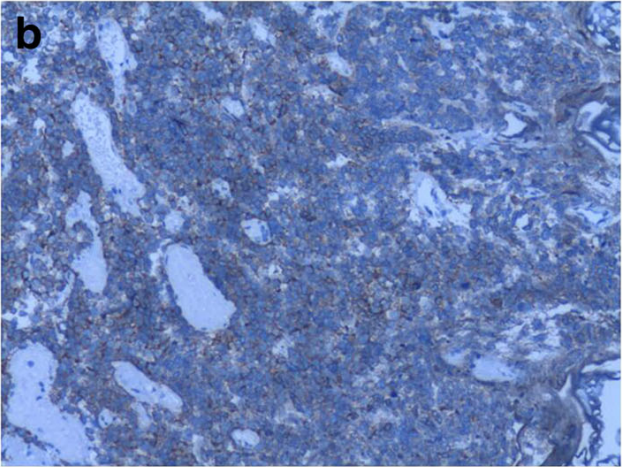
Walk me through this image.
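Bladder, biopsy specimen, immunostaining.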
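The tumour cells form a solid sheet of small, tightly packed cells. Brown stain outlines the individual cells, mostly at their edges and in the scant cytoplasm, while the nuclei appear blue. Pale, empty-looking vascular spaces of varying shape lie scattered within the sheet.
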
